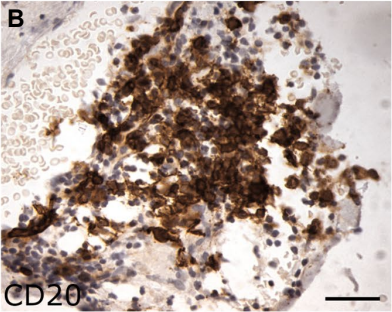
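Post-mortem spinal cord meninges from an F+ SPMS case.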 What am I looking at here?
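The brown cells are small and rounded and crowd together so tightly that single outlines are often hard to tell apart. At the edges, blue-stained nuclei of unstained cells lie among and around the brown ones. To the upper left lies a collection of pale red blood cells, and the surrounding tissue is loose and pale.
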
